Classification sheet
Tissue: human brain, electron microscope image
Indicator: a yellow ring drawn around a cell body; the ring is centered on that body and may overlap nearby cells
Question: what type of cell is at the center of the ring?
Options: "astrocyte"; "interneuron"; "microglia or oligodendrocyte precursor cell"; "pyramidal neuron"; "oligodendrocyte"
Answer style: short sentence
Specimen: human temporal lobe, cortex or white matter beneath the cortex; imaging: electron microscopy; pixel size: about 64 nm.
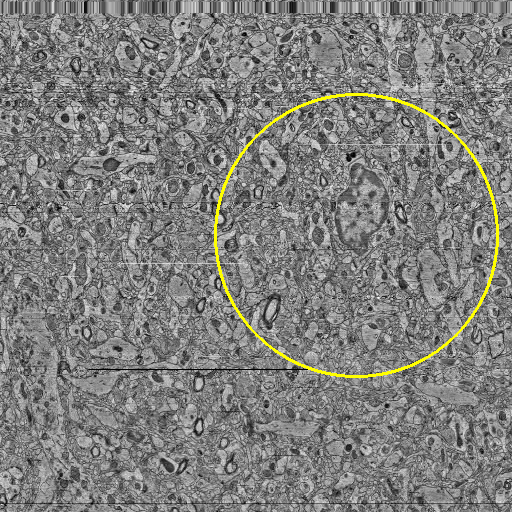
At the ring's center is a microglial cell or oligodendrocyte precursor cell.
